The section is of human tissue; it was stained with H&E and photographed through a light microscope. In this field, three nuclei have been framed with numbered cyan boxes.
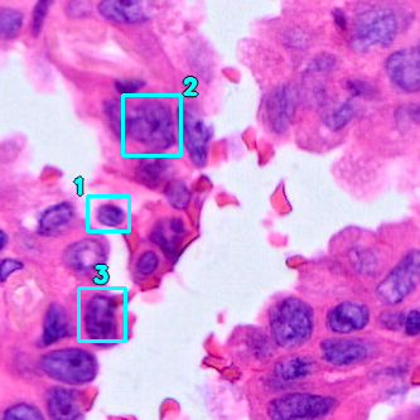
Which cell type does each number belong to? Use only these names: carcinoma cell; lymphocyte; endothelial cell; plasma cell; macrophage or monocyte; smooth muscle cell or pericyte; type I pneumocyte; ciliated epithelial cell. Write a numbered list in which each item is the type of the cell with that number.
1. lymphocyte
2. carcinoma cell
3. carcinoma cell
